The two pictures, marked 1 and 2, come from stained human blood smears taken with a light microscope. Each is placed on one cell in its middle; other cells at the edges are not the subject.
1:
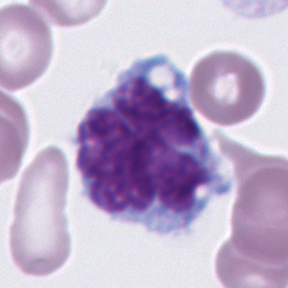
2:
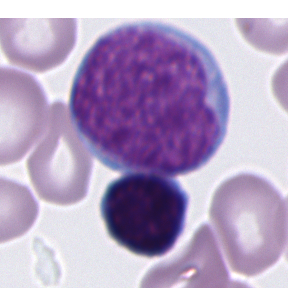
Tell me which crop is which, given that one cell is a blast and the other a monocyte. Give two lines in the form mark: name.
1: monocyte
2: blast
